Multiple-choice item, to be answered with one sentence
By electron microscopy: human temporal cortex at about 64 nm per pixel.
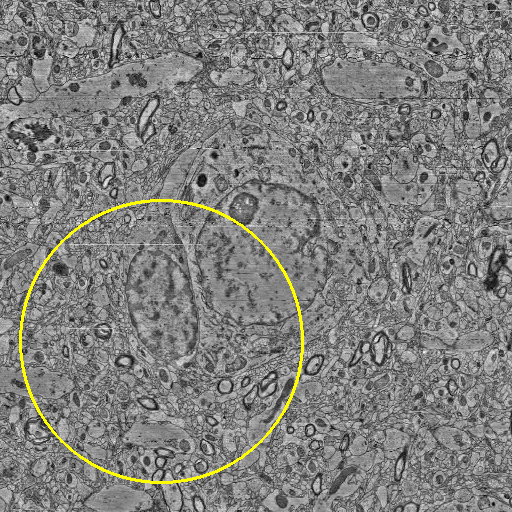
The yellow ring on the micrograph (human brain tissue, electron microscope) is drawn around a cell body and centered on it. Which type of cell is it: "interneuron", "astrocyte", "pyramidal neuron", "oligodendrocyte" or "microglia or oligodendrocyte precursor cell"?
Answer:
The ring is centered on an oligodendrocyte.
